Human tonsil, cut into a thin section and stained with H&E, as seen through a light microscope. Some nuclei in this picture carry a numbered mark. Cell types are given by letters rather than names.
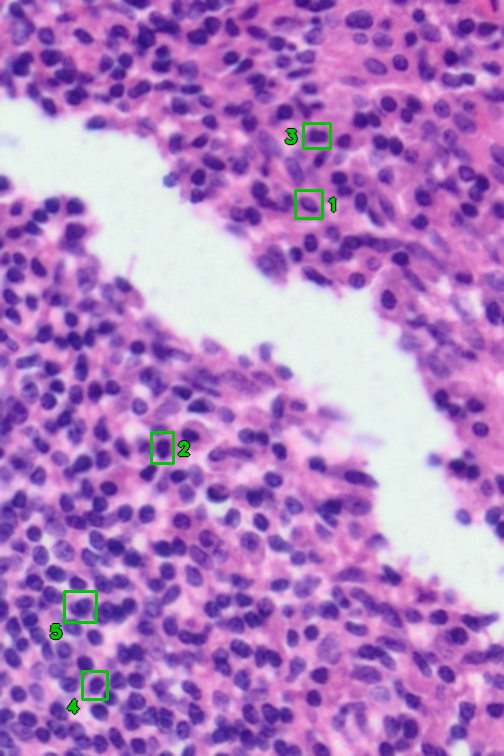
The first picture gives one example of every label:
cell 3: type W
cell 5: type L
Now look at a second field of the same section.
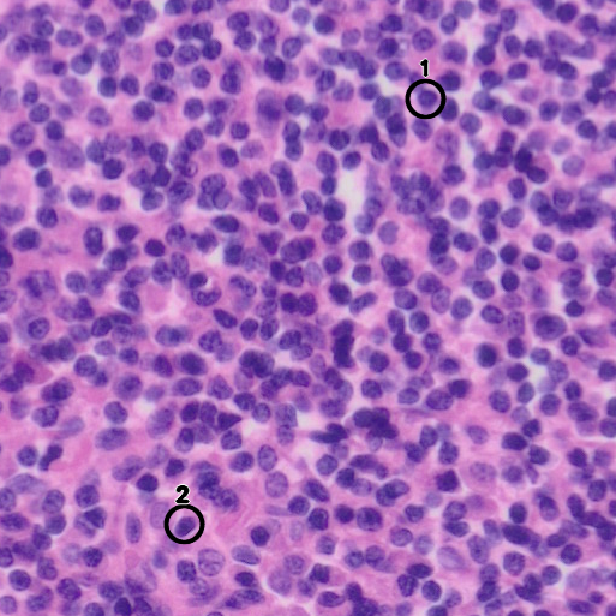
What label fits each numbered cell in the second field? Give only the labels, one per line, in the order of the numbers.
type L
type W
